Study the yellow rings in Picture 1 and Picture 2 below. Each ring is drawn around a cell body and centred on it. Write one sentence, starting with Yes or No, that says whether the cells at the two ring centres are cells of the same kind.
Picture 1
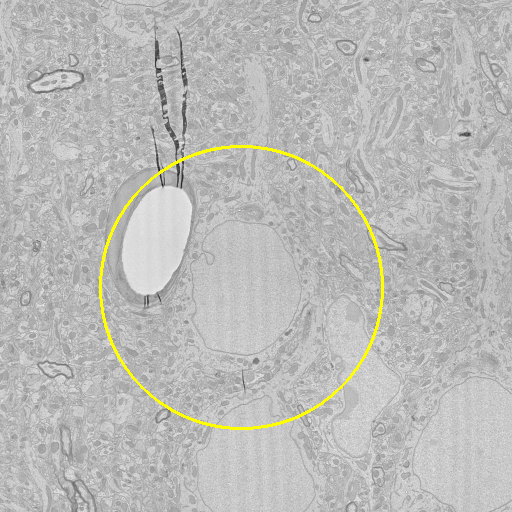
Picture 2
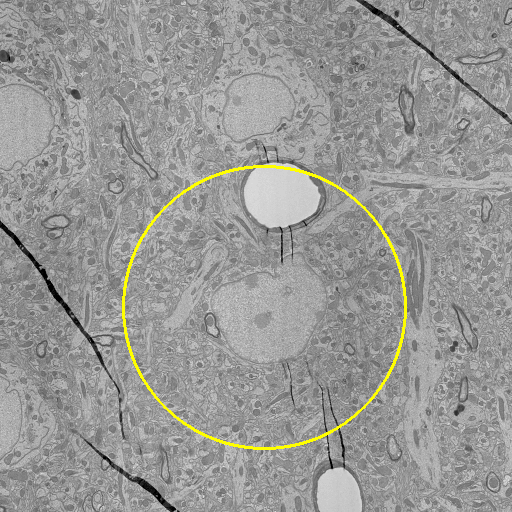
No, the cells at the ring centres are of two kinds.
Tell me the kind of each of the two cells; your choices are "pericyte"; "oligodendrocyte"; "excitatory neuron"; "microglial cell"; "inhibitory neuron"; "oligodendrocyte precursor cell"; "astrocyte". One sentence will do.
The ringed cell is an excitatory neuron in the first picture and an astrocyte in the second picture.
